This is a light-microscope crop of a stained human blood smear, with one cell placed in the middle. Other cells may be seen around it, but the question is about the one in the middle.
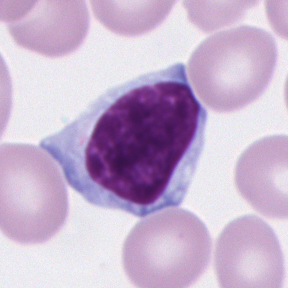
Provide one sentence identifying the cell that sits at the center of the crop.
What the crop centres on is a lymphocyte.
